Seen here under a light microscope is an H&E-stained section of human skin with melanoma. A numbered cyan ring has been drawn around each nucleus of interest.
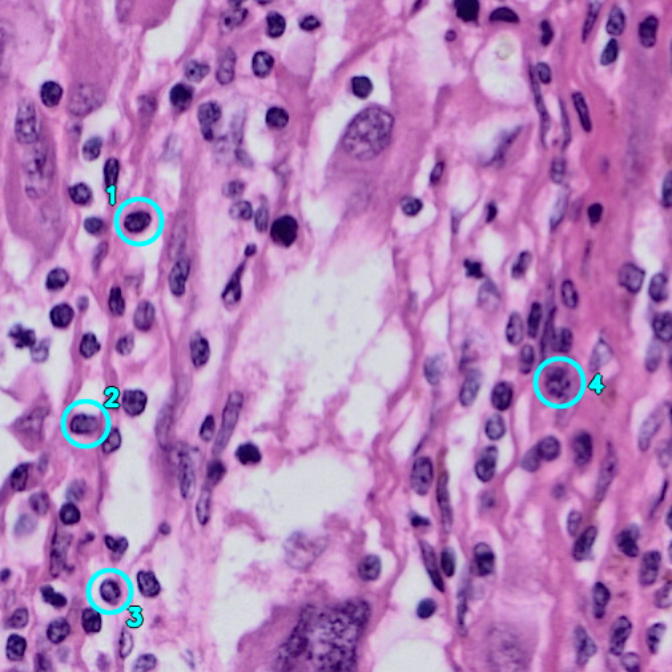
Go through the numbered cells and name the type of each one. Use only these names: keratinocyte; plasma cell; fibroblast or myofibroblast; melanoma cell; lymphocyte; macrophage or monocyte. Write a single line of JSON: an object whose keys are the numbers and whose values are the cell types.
{"1": "lymphocyte", "2": "lymphocyte", "3": "lymphocyte", "4": "plasma cell"}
